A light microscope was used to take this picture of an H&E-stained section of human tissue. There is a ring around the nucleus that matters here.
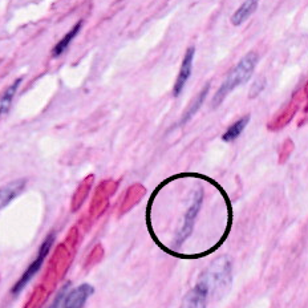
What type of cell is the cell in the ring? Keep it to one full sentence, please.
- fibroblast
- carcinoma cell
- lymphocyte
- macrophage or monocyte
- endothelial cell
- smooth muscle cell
As to its cell type, the cell in the ring is a fibroblast.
